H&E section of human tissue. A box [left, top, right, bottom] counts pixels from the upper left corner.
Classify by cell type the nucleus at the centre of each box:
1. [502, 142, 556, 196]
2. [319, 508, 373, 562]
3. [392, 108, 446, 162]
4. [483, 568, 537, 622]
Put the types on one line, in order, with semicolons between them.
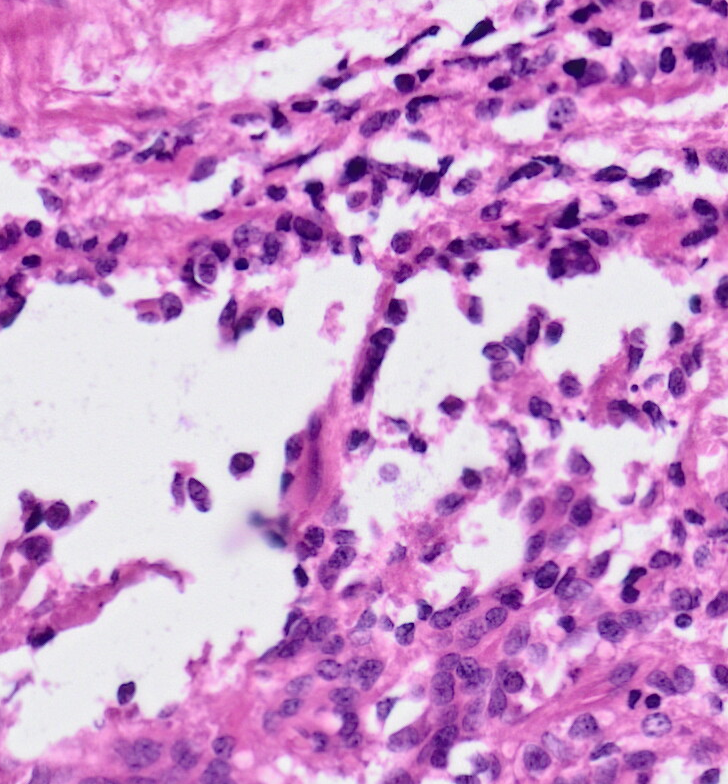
carcinoma cell; carcinoma cell; macrophage or monocyte; carcinoma cell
